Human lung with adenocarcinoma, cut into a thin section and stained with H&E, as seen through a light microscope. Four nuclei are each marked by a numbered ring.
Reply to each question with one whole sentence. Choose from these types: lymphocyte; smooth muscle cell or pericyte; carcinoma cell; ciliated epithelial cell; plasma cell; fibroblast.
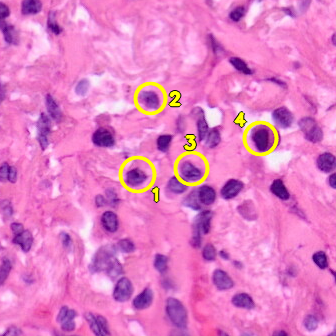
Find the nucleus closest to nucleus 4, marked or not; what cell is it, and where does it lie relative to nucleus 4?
A lymphocyte lies closest, above and to the right of nucleus 4.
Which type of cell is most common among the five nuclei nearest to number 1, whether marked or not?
Most of the five nuclei nearest to number 1 are those of plasma cells.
